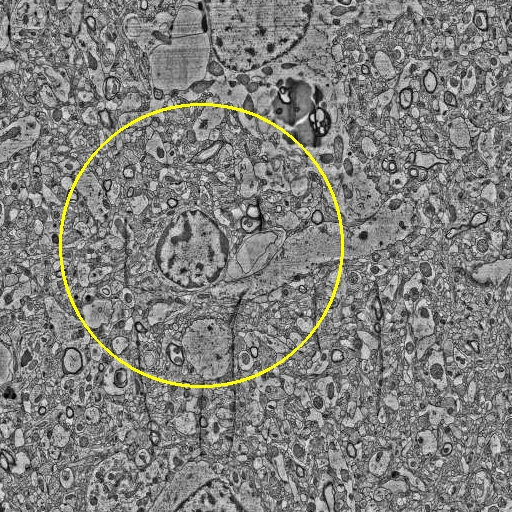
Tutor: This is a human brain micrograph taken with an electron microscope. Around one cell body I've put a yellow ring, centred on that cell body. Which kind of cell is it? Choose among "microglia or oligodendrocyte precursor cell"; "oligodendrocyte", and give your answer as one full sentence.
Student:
Going by your list, the cell centred in the yellow ring is a microglial cell or oligodendrocyte precursor cell.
